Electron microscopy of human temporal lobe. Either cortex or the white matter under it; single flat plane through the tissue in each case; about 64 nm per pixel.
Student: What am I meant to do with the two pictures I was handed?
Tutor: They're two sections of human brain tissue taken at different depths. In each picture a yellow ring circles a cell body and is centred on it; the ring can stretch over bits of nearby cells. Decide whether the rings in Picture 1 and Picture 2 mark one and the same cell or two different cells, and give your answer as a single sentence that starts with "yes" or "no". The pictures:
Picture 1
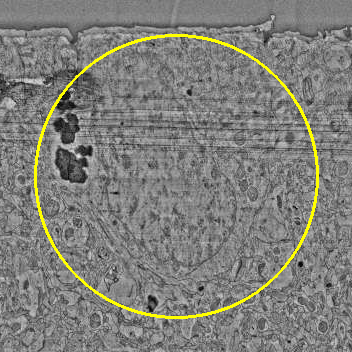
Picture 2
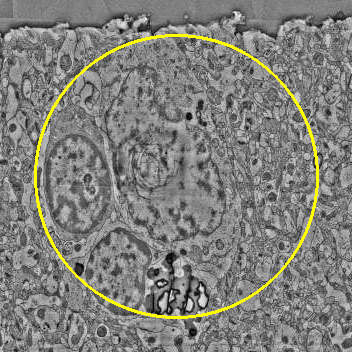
Yes, both yellow rings were placed on the same cell.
